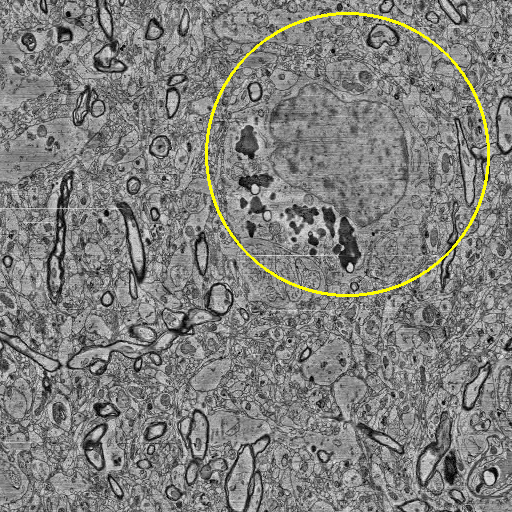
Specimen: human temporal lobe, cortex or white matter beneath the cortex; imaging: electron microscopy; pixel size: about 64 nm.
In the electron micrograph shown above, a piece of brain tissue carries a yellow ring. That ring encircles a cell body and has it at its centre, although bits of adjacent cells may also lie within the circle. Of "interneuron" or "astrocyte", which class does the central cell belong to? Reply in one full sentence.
The cell body at the centre of the yellow ring belongs to an interneuron.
